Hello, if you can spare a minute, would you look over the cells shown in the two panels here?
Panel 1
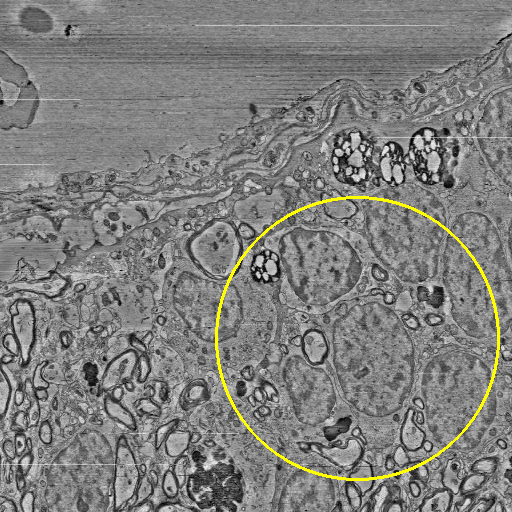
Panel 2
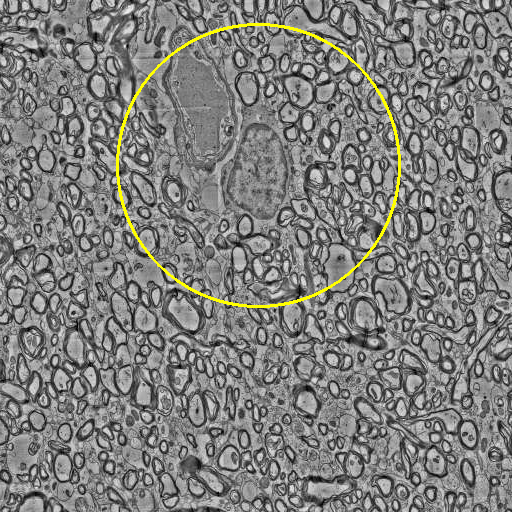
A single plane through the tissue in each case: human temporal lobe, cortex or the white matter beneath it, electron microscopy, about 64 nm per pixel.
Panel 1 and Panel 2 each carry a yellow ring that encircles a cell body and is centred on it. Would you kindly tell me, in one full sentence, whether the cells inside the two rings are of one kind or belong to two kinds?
The cells at the centres of the rings in Panel 1 and Panel 2 are of one kind.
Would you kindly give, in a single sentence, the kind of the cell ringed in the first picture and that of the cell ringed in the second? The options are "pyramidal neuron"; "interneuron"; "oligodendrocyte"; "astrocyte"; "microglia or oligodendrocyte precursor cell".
Both the first and the second picture show an oligodendrocyte in the ring.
